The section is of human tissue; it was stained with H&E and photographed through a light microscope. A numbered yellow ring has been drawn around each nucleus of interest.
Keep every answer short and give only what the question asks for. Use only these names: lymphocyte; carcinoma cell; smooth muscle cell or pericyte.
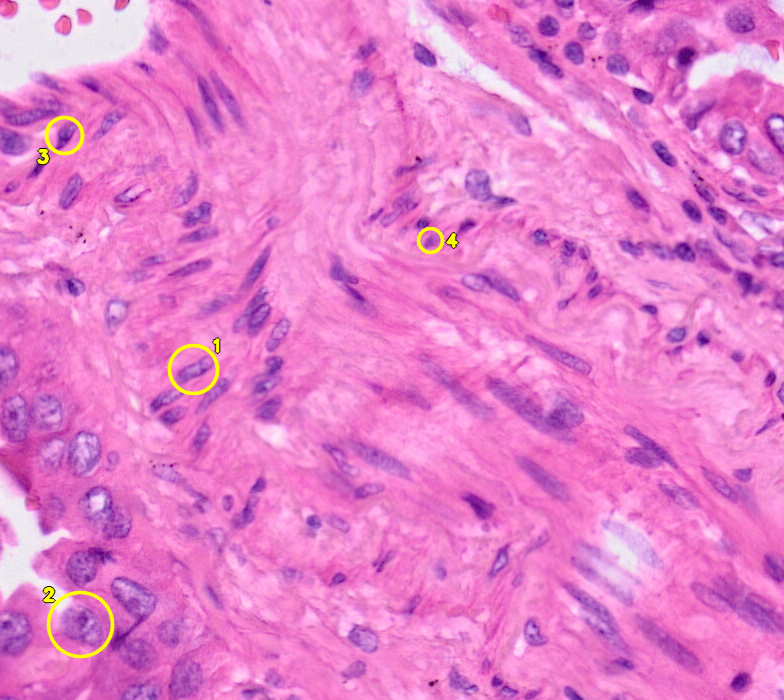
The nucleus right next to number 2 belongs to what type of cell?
carcinoma cell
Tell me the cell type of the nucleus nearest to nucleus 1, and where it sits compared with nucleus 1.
a smooth muscle cell or pericyte; below and to the right of nucleus 1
